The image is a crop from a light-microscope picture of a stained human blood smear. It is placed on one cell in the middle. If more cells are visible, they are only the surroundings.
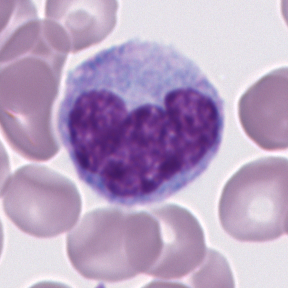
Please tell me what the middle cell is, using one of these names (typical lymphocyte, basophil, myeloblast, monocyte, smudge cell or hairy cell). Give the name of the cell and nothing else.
monocyte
